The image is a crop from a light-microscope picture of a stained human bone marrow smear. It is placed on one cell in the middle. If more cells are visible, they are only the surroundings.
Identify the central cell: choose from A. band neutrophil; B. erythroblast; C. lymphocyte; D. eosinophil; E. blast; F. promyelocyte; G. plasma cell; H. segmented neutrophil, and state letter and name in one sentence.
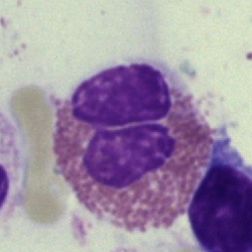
The expected answer is option D, the central cell being an eosinophil.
